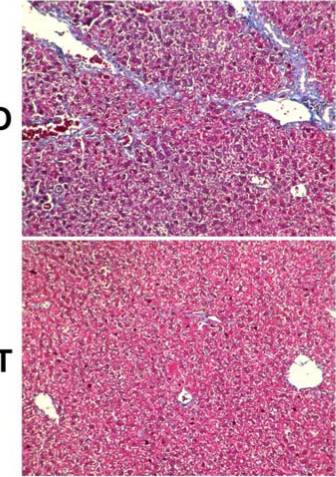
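Liver parenchyma of tightly packed hepatocytes stained red to purple, with scattered vessel lumina. In the upper image blue-stained fibrous strands run along and between vessels and extend into the parenchyma, and one vessel at the left is filled with dark red blood. In the lower image the parenchyma is uniformly red, with only slight blue around the vessels.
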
